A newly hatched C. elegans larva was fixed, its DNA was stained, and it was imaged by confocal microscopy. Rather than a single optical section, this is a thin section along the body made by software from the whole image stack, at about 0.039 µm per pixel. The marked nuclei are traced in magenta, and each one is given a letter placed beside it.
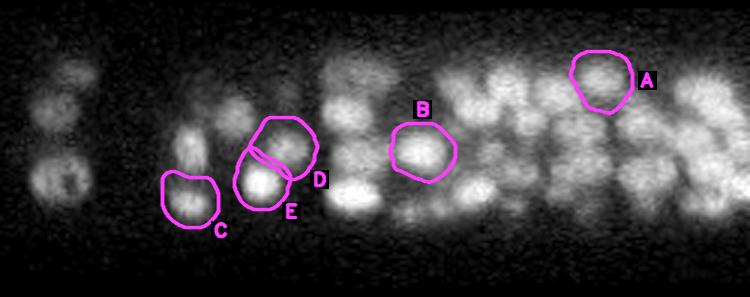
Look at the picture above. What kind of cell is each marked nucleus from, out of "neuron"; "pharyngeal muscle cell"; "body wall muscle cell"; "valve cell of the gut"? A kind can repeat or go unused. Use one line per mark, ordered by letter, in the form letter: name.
A: neuron
B: neuron
C: body wall muscle cell
D: pharyngeal muscle cell
E: neuron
